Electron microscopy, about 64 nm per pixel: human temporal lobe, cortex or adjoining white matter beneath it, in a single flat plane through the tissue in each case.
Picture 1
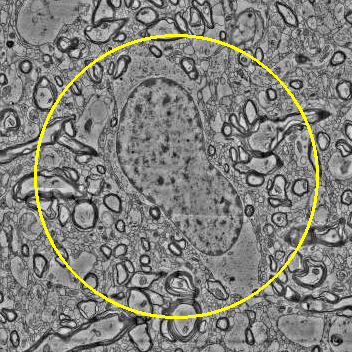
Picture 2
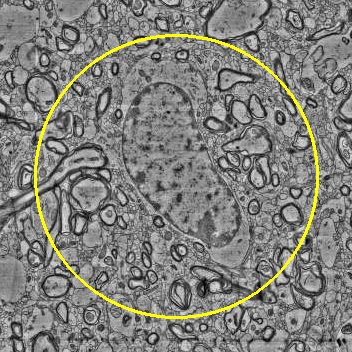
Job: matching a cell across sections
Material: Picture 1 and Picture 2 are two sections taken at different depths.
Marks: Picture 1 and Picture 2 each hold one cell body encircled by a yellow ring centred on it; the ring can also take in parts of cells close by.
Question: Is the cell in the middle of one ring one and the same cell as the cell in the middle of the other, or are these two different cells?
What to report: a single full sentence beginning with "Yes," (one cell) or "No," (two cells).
Yes, one single cell is under each of the two rings.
